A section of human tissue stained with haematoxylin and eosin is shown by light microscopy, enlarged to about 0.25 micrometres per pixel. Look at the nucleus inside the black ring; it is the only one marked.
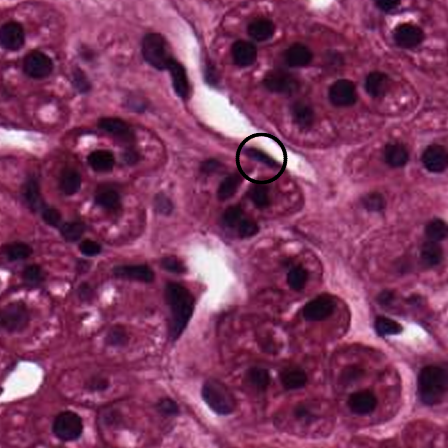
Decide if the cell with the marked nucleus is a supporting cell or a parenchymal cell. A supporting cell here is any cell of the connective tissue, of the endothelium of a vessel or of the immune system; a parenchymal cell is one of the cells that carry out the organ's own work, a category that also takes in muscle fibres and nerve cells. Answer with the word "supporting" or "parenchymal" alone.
supporting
